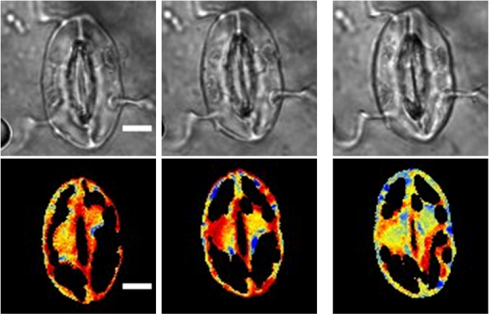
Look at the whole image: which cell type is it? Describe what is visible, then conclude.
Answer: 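Guard cells. Two kidney-shaped cells face each other around a central slit-like pore. The paired cells together form an oval outline in every image.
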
